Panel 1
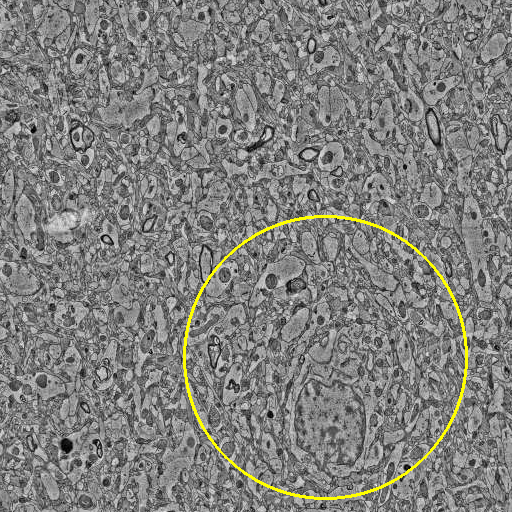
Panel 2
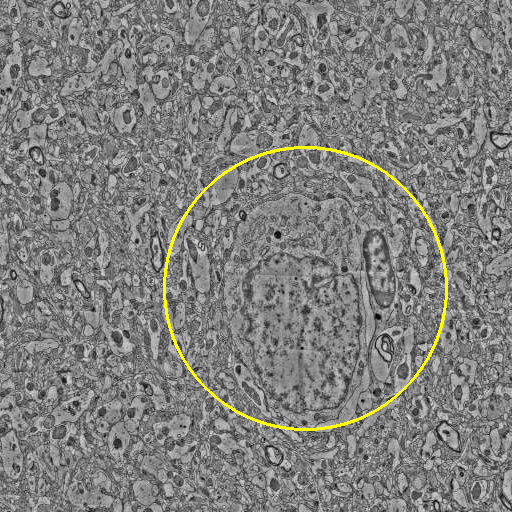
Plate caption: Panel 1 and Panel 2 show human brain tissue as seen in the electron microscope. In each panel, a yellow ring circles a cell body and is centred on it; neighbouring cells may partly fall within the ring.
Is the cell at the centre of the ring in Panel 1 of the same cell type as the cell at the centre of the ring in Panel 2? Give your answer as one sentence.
Yes, the two cells are of the same type.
